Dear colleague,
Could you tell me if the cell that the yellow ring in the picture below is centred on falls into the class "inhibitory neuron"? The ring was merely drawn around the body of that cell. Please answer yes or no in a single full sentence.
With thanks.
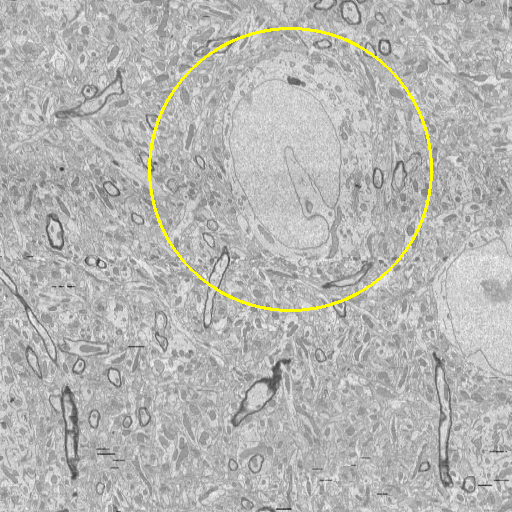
No, the cell on which the ring in your picture is centred falls into a different class.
